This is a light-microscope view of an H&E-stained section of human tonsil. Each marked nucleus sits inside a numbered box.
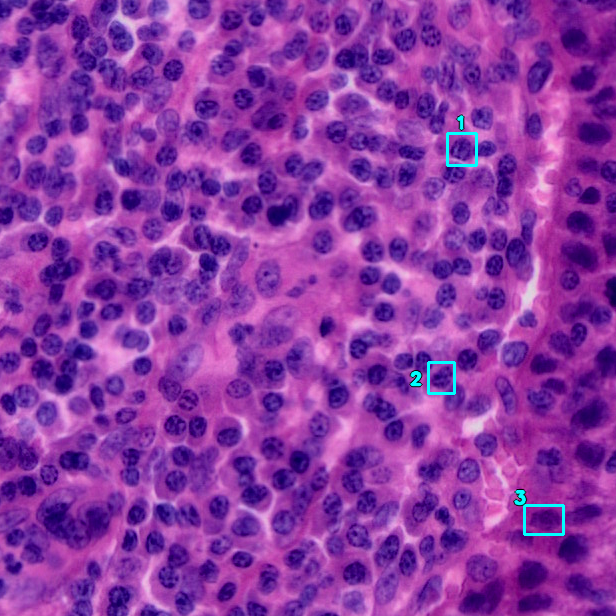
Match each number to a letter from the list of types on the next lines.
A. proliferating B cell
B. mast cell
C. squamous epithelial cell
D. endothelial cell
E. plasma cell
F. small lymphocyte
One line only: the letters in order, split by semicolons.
E; E; C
